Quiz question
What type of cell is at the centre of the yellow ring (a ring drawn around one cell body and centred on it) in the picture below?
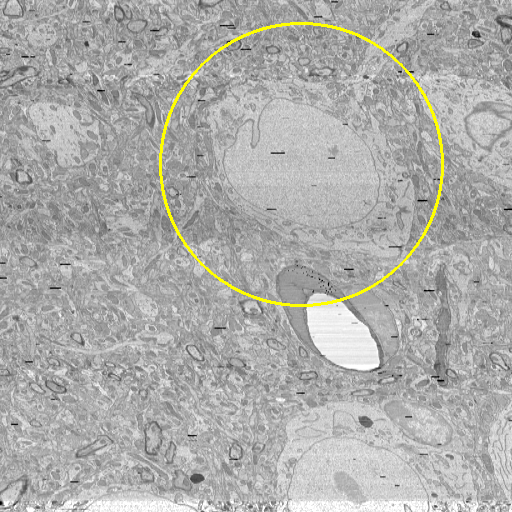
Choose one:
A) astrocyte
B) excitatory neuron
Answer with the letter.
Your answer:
B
